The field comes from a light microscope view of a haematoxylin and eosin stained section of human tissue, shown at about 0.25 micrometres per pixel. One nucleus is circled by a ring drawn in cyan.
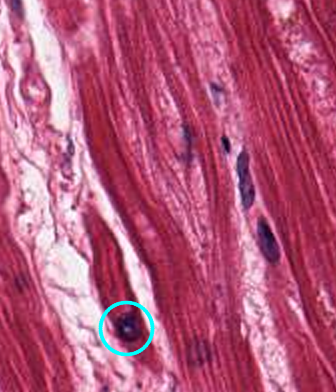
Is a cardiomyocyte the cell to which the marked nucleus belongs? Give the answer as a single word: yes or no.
yes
